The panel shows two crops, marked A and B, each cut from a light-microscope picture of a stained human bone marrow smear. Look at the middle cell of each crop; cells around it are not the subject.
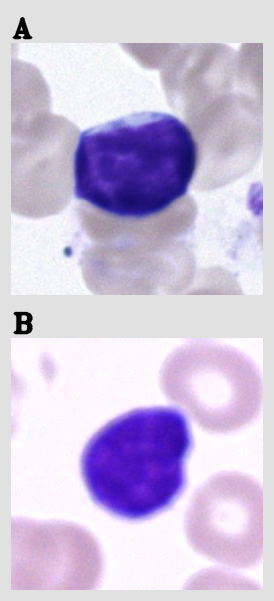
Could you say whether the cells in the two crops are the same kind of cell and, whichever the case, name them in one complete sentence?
Yes, the cells at the centres of the two crops are lymphocytes.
